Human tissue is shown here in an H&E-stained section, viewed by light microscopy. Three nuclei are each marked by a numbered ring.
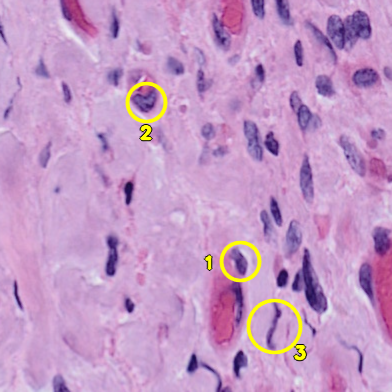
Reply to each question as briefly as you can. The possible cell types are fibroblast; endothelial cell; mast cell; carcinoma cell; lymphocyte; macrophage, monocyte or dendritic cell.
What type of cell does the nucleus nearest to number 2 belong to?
endothelial cell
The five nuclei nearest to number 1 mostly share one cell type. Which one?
fibroblast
